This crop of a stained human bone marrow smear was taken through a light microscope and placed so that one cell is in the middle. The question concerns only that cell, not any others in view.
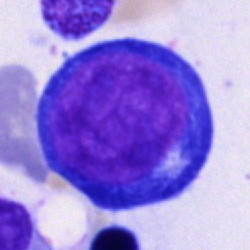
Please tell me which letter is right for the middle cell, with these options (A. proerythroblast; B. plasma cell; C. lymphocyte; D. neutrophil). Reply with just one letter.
A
